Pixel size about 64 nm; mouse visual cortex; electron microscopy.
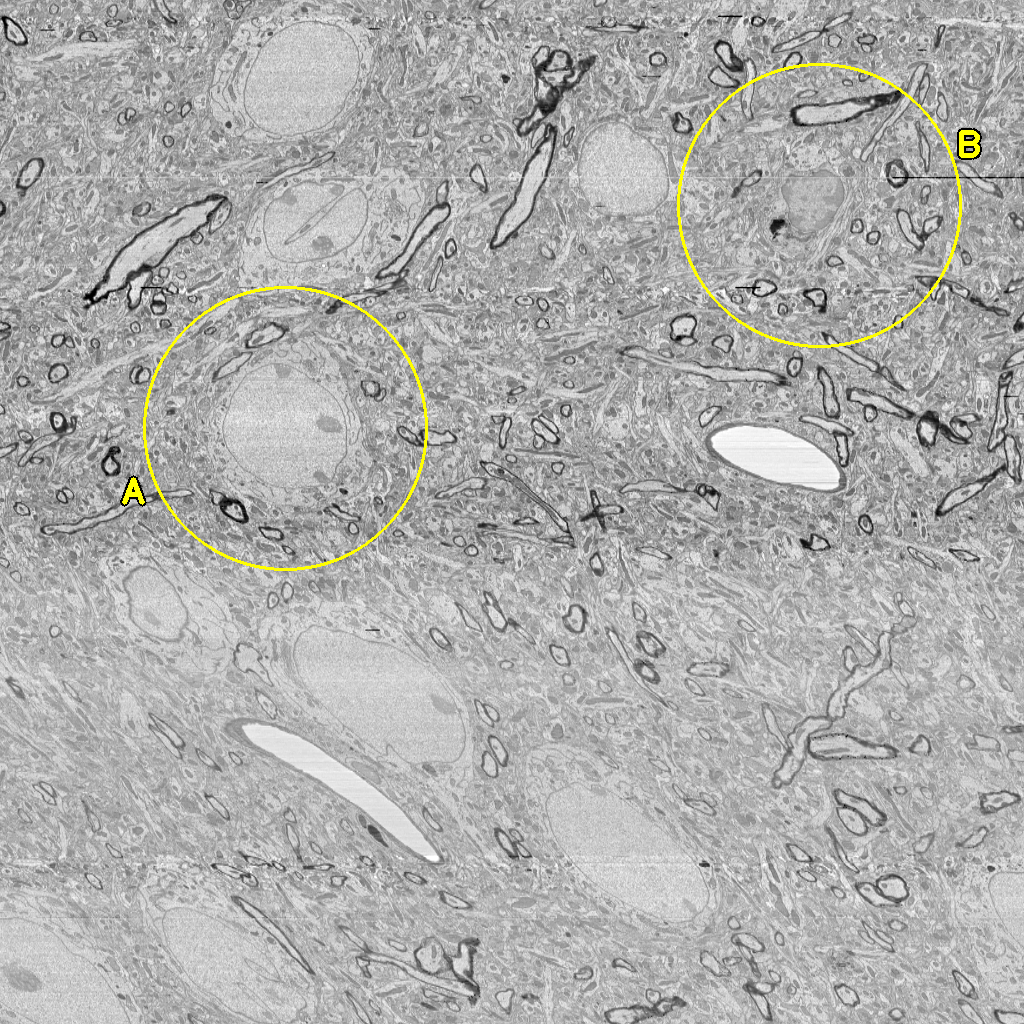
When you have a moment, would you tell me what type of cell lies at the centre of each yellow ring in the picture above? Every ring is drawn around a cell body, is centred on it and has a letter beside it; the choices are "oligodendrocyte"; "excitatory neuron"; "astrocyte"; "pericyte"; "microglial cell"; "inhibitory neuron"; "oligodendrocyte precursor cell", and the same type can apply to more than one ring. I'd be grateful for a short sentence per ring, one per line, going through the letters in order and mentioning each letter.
The cell at the centre of ring A is an excitatory neuron.
The cell at the centre of ring B is a microglial cell.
